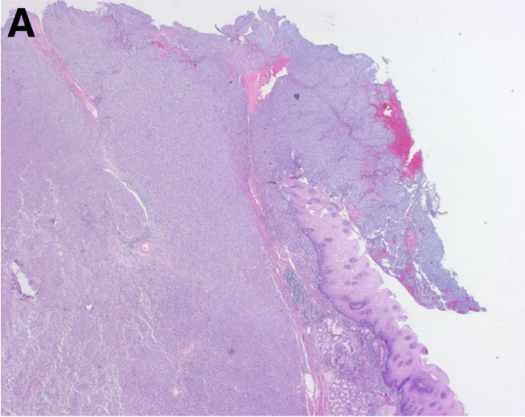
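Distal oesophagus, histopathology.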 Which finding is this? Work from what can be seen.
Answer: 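A large solid cellular mass occupies most of the section. Part of the mass projects above the surface level, part extends deep into the wall. Squamous lining epithelium is seen at the edge of the mass. On this evidence: exophytic and endophytic tumour.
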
